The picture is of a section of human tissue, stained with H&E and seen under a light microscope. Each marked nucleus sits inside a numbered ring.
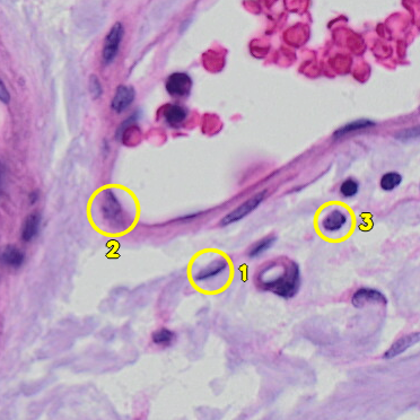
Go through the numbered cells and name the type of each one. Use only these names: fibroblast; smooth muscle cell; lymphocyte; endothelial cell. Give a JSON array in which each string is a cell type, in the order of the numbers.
["fibroblast", "endothelial cell", "lymphocyte"]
